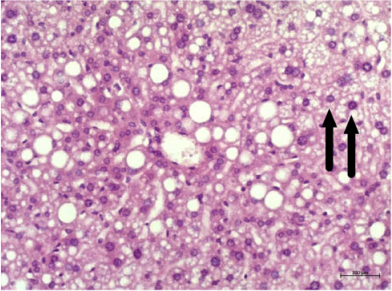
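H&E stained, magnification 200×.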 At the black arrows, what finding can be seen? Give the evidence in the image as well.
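Hepatocyte ballooning. The arrows point to enlarged, pale cells with wispy, cleared cytoplasm. Many round, empty vacuoles of varying size lie scattered among the cells.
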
